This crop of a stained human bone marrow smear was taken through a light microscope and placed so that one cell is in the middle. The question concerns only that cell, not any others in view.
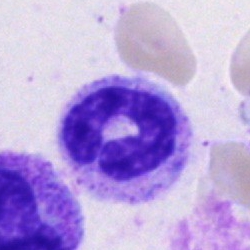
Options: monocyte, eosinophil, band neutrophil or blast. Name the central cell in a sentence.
The cell of interest, in the center, is a band neutrophil.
